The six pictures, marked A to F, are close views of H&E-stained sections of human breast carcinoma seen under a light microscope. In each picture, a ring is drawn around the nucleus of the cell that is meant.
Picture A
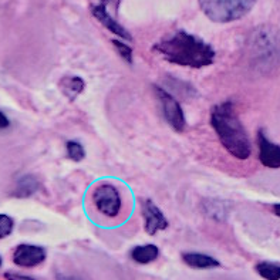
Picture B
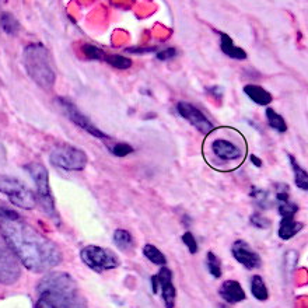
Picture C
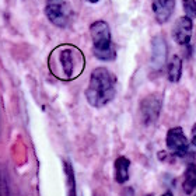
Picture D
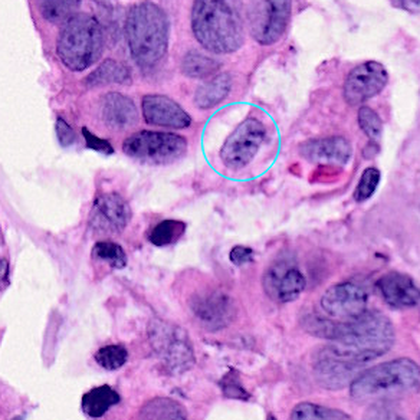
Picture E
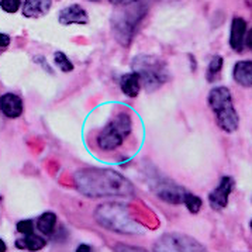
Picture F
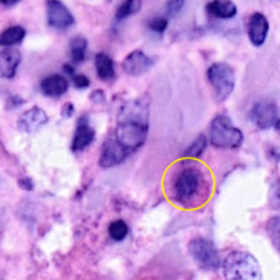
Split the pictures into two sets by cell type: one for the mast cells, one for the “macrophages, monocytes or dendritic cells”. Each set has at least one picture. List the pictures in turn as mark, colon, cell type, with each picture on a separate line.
A: mast cell
B: mast cell
C: macrophage, monocyte or dendritic cell
D: macrophage, monocyte or dendritic cell
E: mast cell
F: mast cell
